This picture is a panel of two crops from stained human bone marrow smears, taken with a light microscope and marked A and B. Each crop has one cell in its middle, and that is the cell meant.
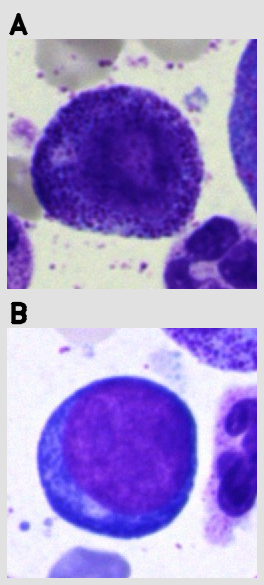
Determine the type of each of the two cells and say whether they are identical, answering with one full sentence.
No, crop B shows a proerythroblast, and crop A shows a promyelocyte.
